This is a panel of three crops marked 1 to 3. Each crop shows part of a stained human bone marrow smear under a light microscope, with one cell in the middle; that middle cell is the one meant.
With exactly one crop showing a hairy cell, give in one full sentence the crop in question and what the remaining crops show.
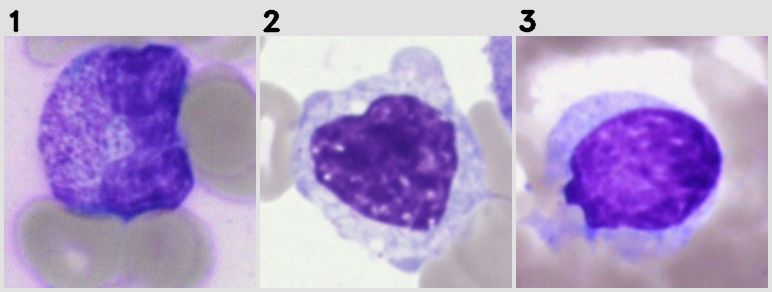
Crop 3 has a hairy cell as its central cell, while crop 1 is a band neutrophil and crop 2 is a monocyte.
